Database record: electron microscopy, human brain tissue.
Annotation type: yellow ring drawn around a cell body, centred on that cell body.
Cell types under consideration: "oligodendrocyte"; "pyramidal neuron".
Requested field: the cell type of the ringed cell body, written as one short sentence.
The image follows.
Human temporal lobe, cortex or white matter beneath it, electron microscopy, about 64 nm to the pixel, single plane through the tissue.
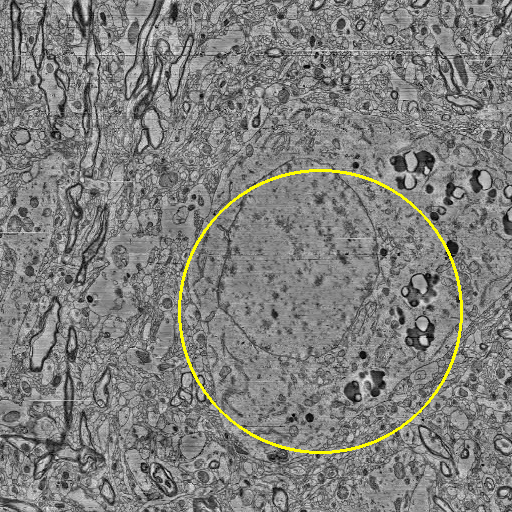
The ringed cell body represents a pyramidal neuron.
